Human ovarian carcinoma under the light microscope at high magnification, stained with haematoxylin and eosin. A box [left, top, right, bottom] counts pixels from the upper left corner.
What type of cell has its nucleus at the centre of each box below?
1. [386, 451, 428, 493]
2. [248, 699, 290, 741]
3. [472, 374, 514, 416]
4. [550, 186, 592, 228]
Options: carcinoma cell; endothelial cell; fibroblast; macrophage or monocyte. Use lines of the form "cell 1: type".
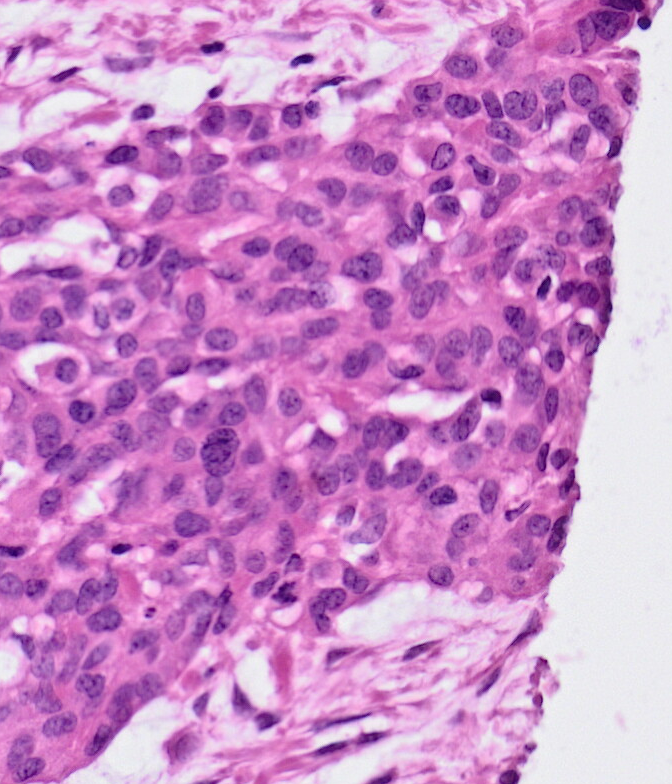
cell 1: carcinoma cell
cell 2: fibroblast
cell 3: carcinoma cell
cell 4: carcinoma cell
